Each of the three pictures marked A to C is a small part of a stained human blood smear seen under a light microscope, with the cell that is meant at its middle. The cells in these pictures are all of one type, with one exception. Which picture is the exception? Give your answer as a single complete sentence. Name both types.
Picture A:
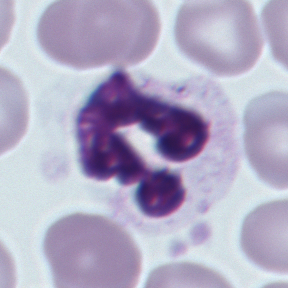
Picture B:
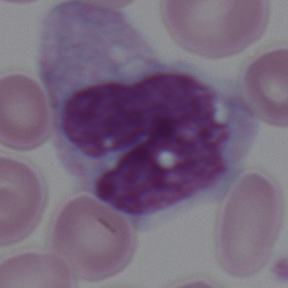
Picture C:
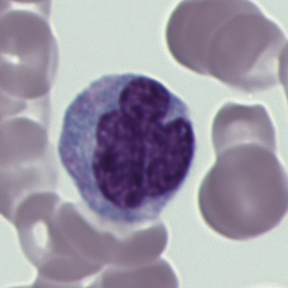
Picture A differs, because its cell is a segmented neutrophil and the rest are monocytes.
